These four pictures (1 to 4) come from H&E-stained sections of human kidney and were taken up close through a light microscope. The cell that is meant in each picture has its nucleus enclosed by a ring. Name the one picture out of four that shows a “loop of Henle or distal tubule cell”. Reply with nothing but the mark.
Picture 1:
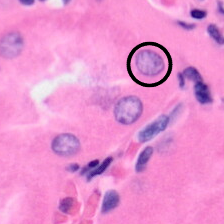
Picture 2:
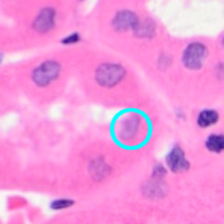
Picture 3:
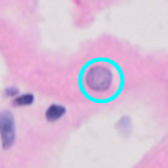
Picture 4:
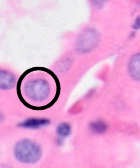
4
